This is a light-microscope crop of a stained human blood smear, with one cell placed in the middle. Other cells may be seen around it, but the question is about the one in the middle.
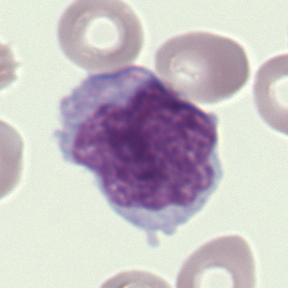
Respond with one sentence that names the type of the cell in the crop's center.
The cell sitting right in the middle is an atypical promyelocyte.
